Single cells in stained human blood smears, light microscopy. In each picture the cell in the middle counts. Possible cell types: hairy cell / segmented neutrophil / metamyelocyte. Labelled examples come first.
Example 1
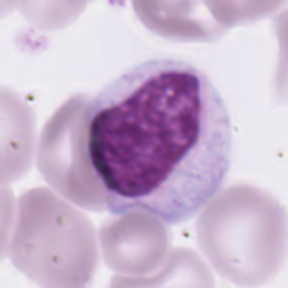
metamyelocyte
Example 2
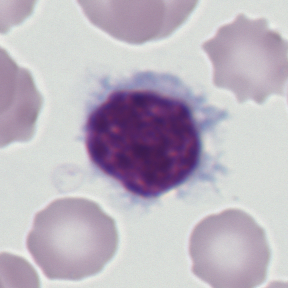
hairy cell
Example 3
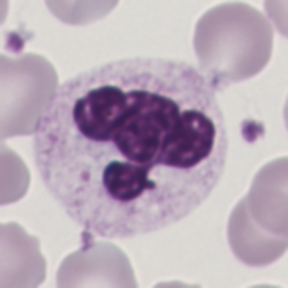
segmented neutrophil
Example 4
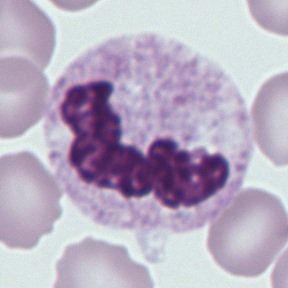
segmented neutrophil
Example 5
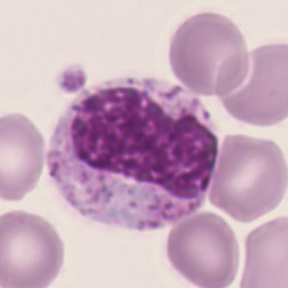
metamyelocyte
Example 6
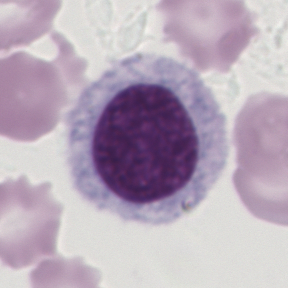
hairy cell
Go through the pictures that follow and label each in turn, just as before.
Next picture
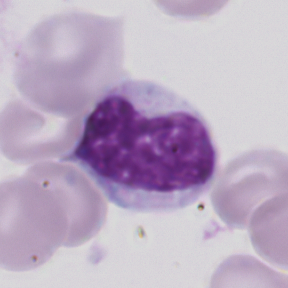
metamyelocyte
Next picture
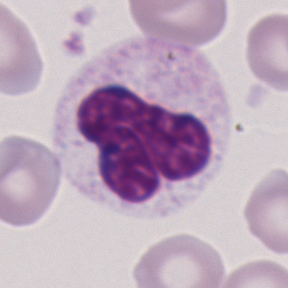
segmented neutrophil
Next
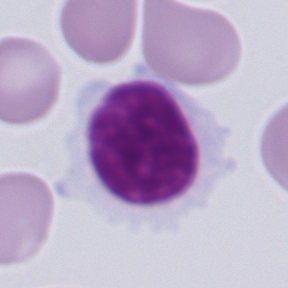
hairy cell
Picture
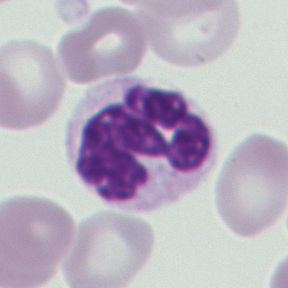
segmented neutrophil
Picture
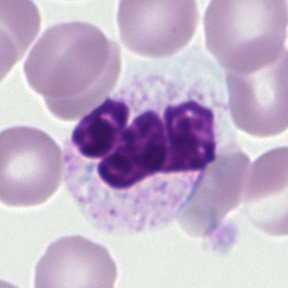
segmented neutrophil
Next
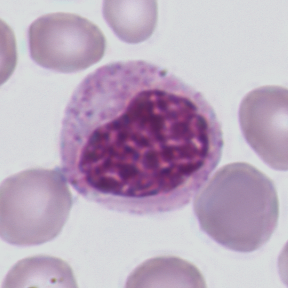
metamyelocyte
